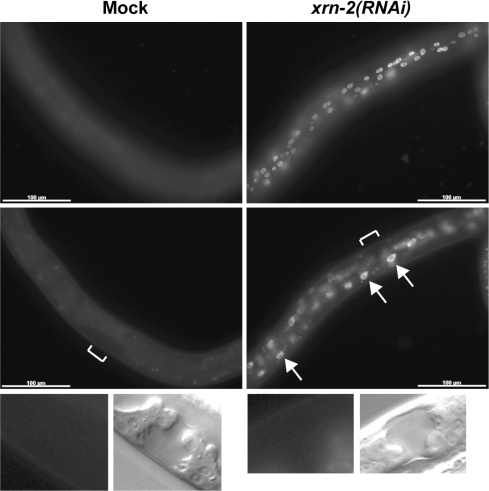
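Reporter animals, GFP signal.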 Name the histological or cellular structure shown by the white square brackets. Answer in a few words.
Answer: Vulvae.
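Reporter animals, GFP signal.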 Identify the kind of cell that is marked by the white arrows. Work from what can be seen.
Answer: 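The arrows point to large bright round nuclei.
Conclusion: intestinal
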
